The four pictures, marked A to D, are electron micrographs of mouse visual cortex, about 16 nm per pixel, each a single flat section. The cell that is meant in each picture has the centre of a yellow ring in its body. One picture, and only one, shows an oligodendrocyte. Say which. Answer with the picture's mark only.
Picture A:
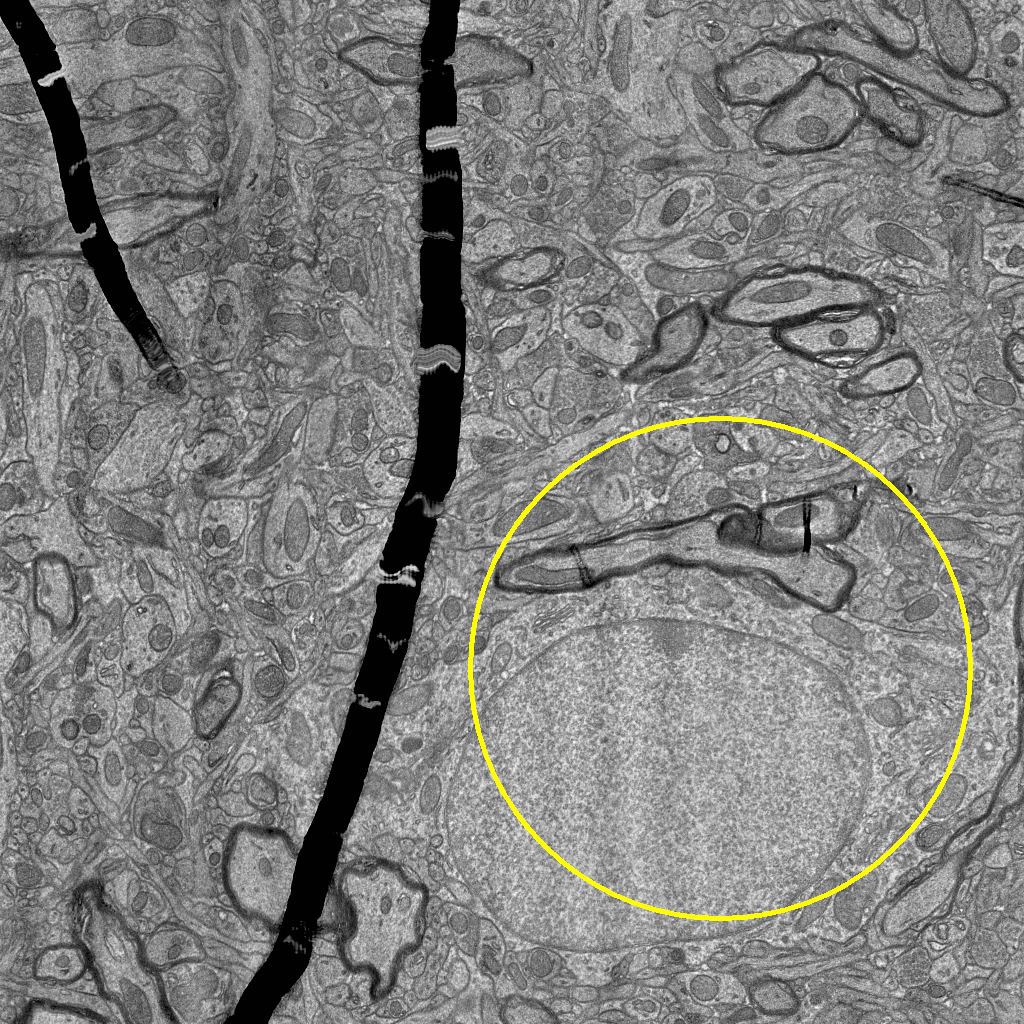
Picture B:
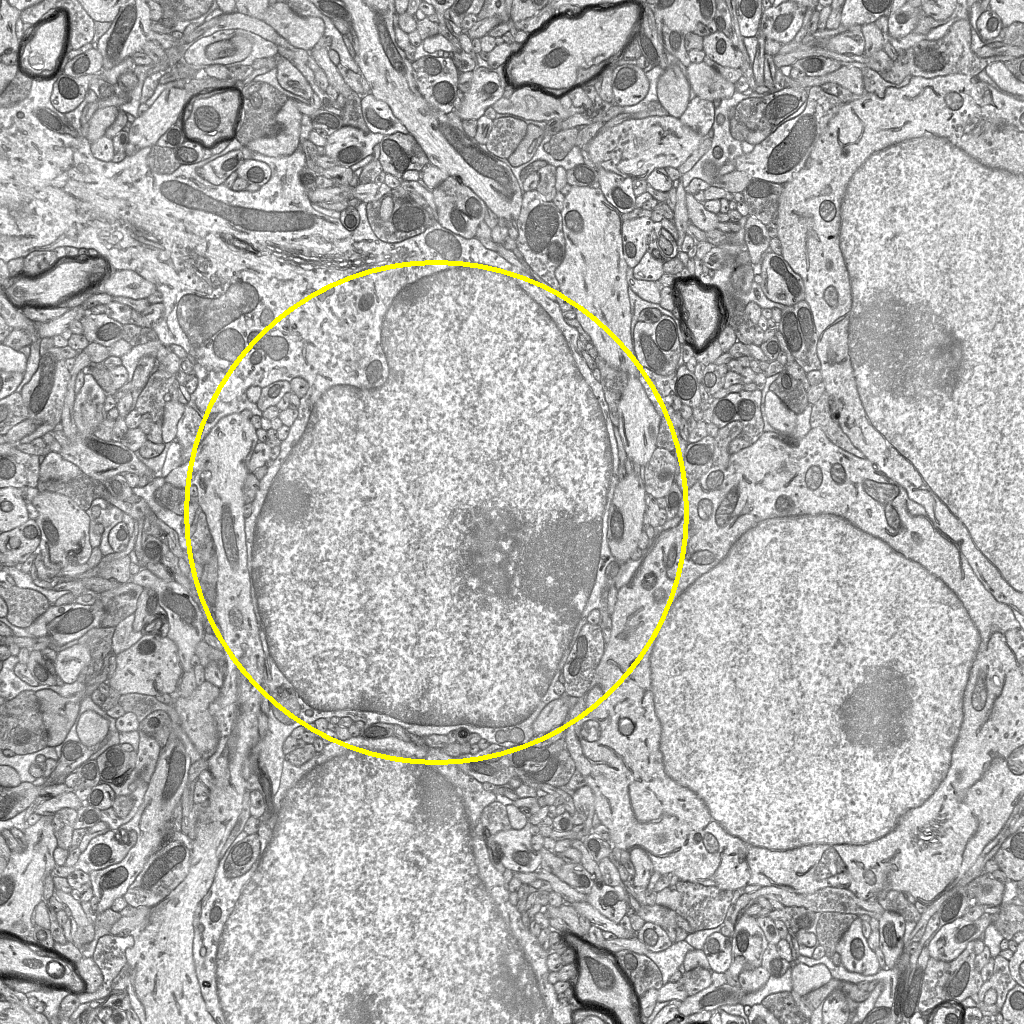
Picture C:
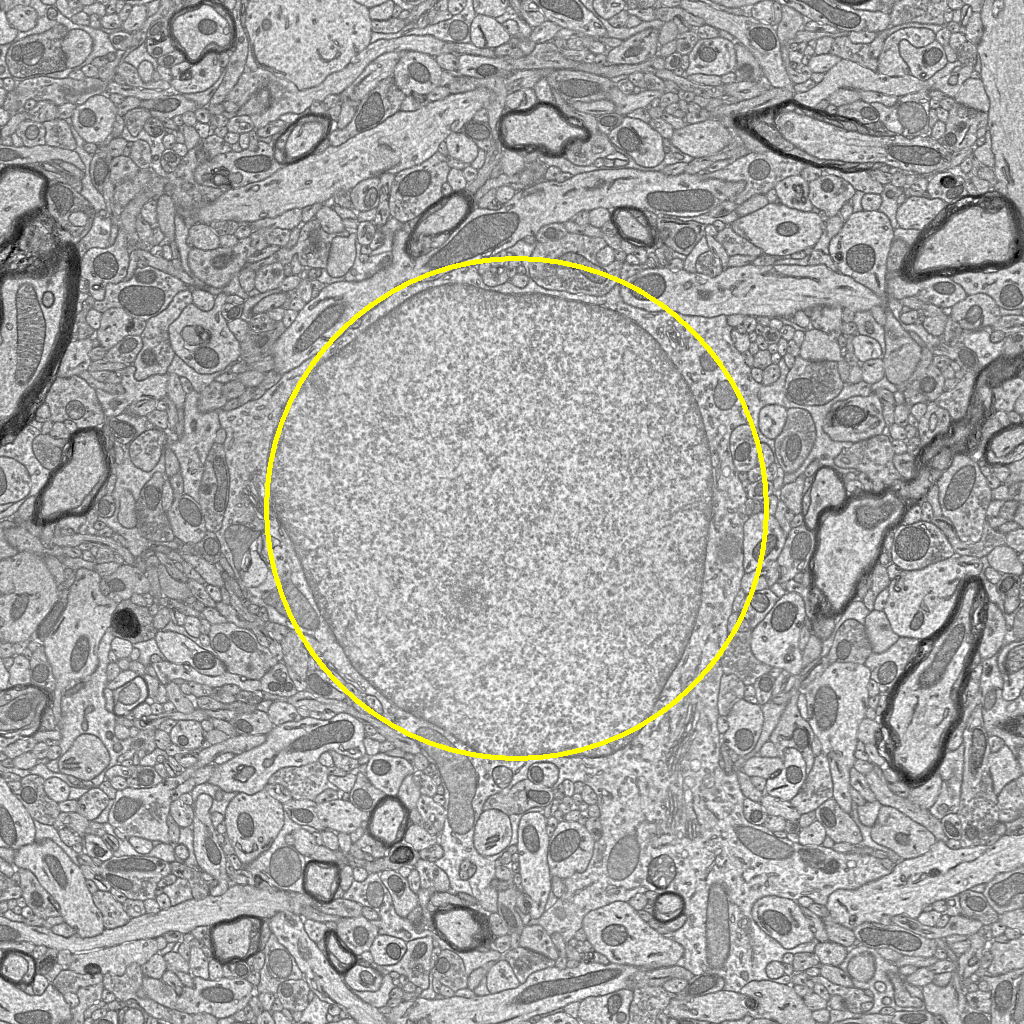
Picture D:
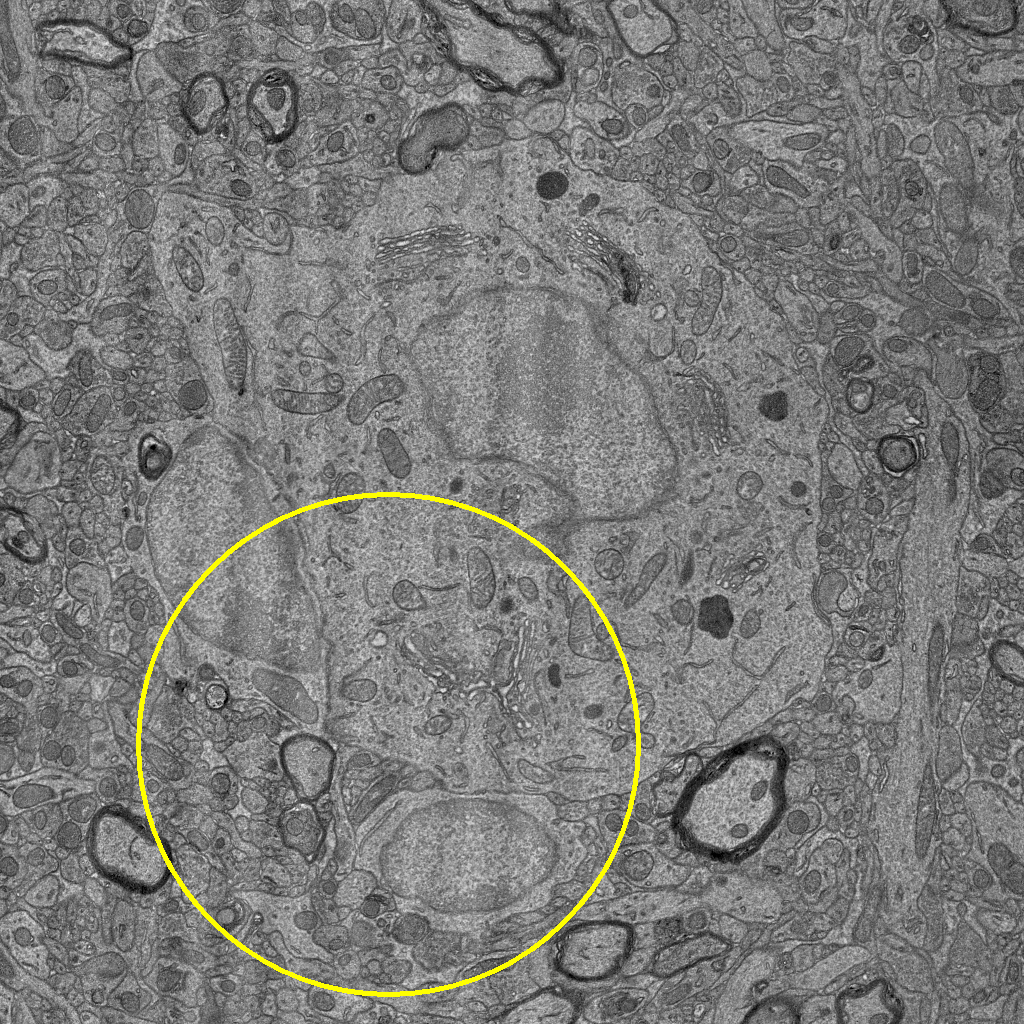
D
